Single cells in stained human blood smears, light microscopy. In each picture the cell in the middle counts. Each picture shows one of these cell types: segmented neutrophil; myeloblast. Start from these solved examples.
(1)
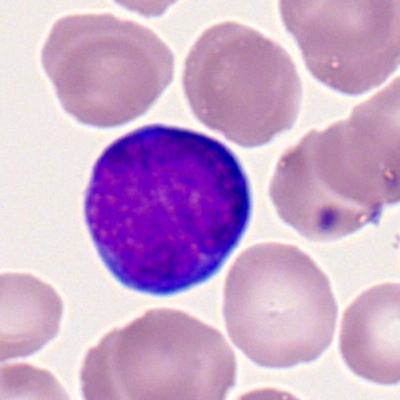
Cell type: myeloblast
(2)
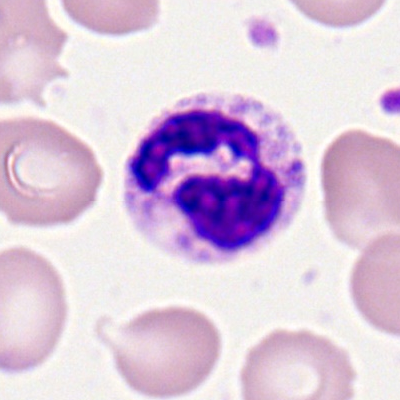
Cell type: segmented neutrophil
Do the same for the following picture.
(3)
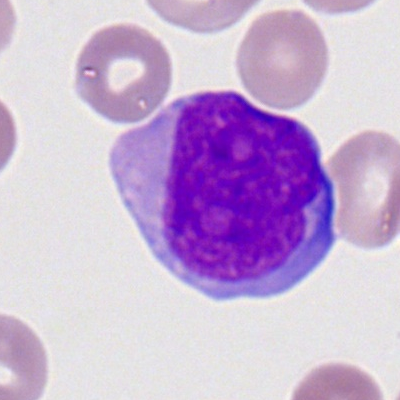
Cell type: myeloblast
